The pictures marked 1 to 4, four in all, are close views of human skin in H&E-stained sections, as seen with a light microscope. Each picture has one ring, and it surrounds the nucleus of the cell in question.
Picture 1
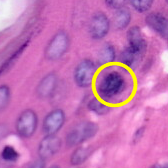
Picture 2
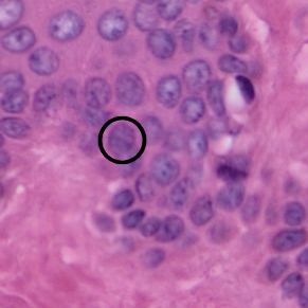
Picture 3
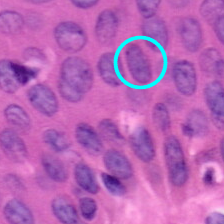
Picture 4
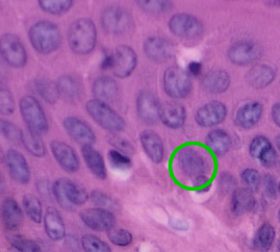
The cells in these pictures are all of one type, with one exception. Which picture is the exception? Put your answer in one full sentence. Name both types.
Picture 3 is the odd one out: it shows a suprabasal keratinocyte, while the others show basal keratinocytes.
